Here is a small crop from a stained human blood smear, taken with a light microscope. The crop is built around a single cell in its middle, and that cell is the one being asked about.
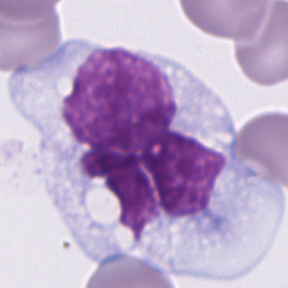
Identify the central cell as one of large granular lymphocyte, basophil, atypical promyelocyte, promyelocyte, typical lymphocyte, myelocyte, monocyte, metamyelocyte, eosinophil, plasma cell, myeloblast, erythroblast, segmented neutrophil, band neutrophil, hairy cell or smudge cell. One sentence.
Within this crop, a monocyte occupies the central position.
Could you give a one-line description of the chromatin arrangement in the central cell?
In this cell the chromatin is fine rather than coarsely clumped.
